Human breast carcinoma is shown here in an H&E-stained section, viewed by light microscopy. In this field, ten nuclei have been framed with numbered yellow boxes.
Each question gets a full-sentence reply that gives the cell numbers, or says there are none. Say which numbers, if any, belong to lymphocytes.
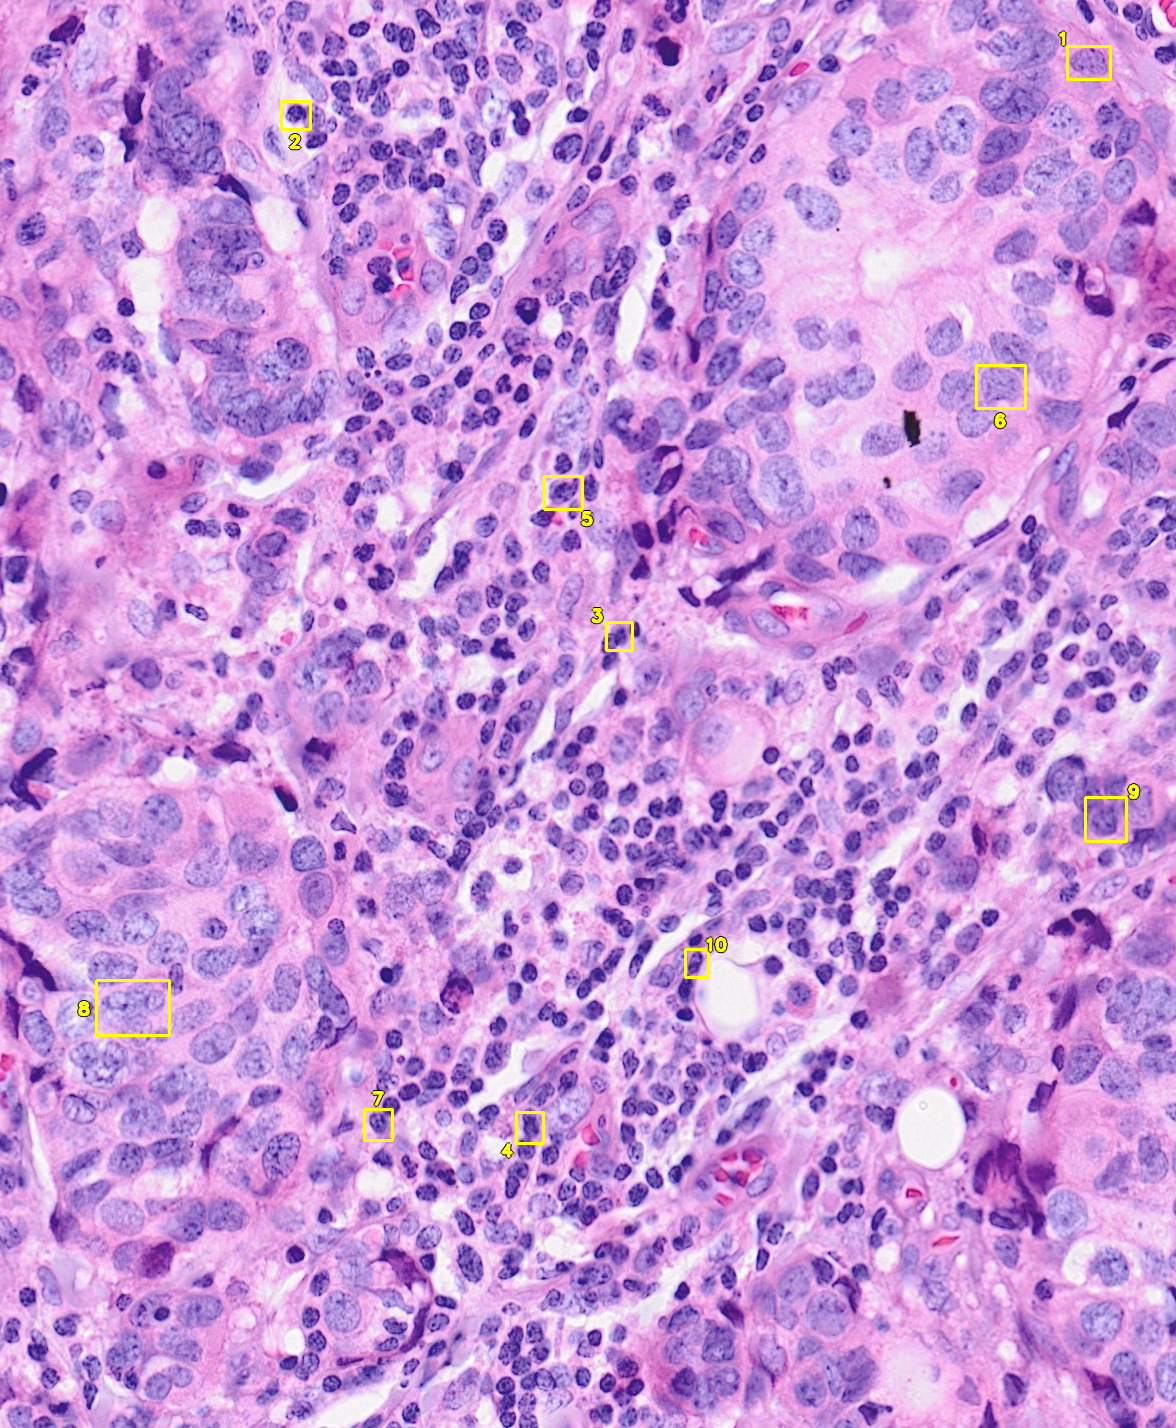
The cells with labels 2, 3, 4, 5, 7 and 10 are lymphocytes.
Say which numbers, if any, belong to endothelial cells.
As regards the numbered cells, endothelial cells are not represented.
